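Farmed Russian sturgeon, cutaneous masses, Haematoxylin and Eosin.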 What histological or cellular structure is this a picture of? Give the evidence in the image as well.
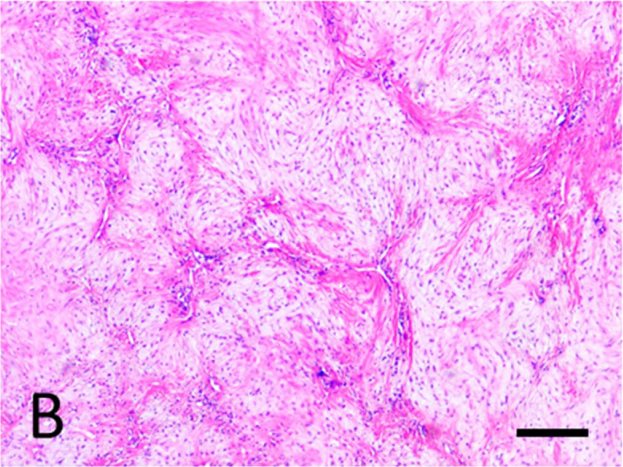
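Multilobular areas. Pale cellular lobules are separated by thin pink fibrous septa.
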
